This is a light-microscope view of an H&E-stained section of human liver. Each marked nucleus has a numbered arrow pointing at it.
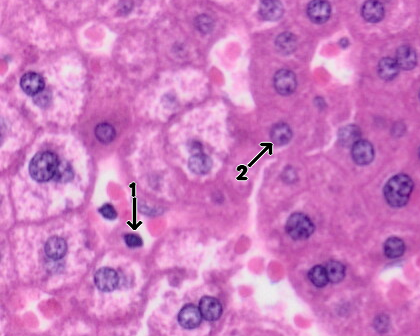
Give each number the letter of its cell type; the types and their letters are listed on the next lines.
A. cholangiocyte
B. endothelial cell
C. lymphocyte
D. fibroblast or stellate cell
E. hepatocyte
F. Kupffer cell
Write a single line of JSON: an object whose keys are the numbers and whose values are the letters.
{"1": "C", "2": "E"}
